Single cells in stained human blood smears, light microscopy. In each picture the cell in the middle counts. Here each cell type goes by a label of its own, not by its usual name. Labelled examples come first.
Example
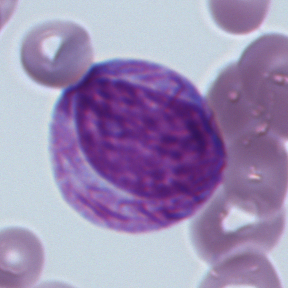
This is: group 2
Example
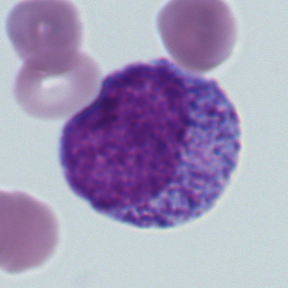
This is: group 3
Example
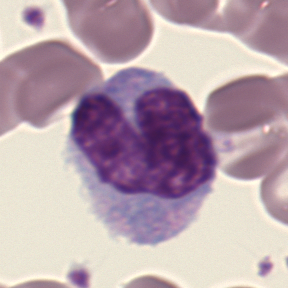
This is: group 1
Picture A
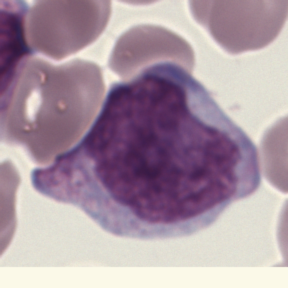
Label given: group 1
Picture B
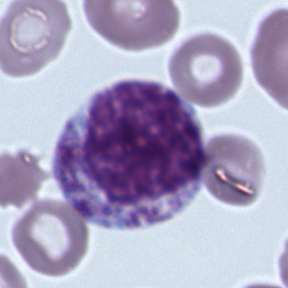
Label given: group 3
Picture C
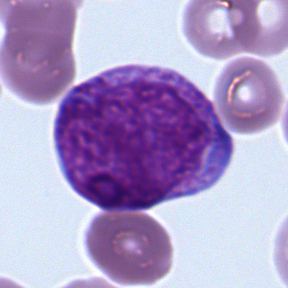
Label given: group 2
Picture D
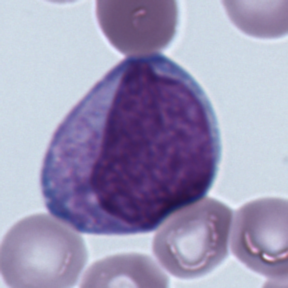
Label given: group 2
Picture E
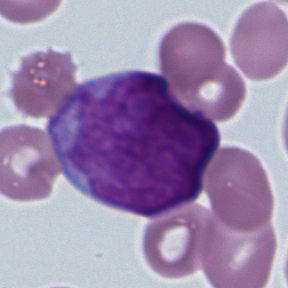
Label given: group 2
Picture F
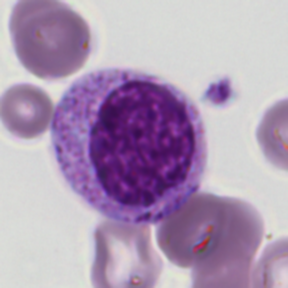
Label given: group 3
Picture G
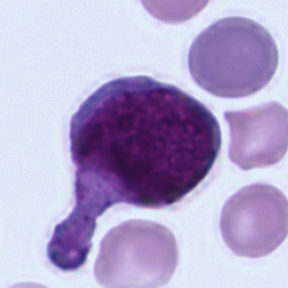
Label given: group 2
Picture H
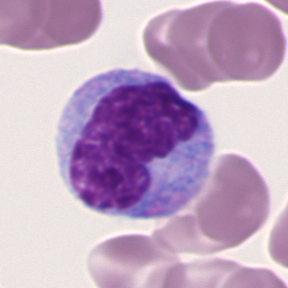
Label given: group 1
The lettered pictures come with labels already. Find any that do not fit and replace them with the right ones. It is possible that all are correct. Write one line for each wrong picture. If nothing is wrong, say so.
A should be group 2, not group 1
